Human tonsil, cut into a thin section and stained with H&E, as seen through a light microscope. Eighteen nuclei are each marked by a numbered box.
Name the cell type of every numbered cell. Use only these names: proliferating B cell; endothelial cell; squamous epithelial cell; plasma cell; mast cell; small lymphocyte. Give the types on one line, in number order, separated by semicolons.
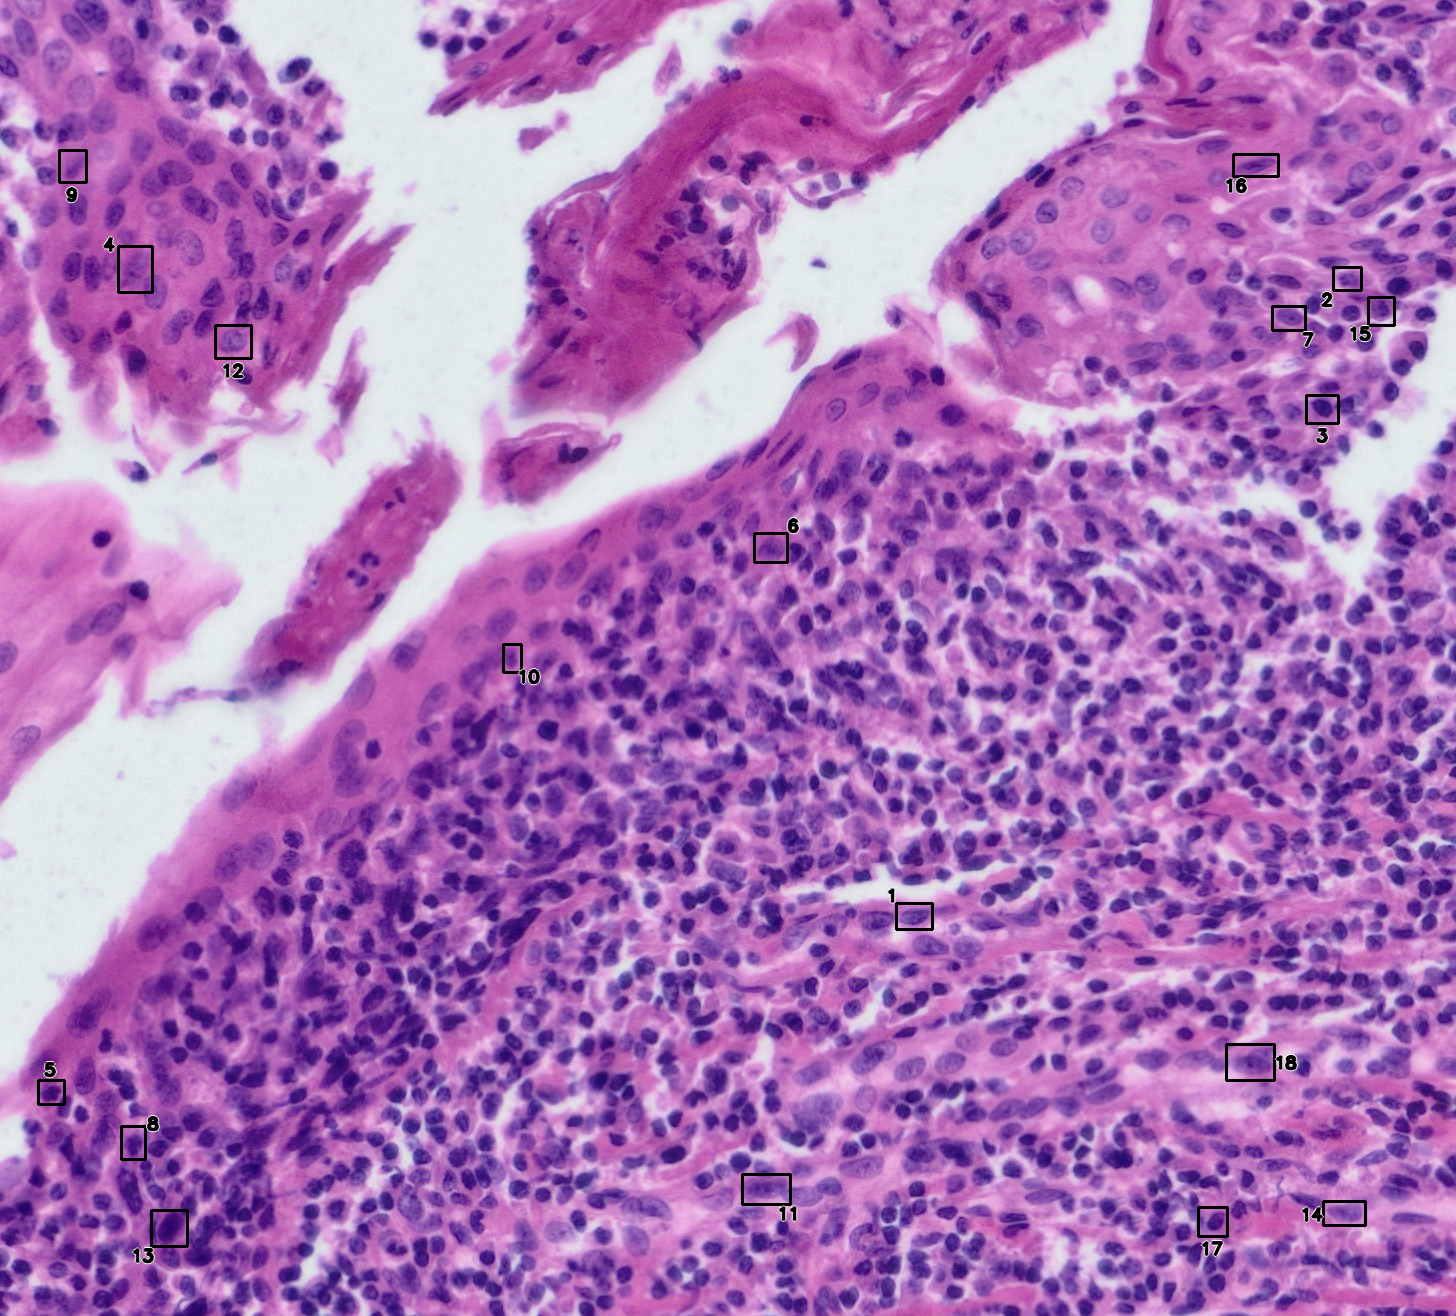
endothelial cell; plasma cell; plasma cell; squamous epithelial cell; squamous epithelial cell; squamous epithelial cell; squamous epithelial cell; squamous epithelial cell; squamous epithelial cell; squamous epithelial cell; endothelial cell; squamous epithelial cell; squamous epithelial cell; endothelial cell; plasma cell; squamous epithelial cell; plasma cell; endothelial cell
